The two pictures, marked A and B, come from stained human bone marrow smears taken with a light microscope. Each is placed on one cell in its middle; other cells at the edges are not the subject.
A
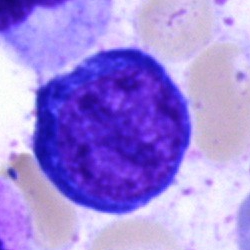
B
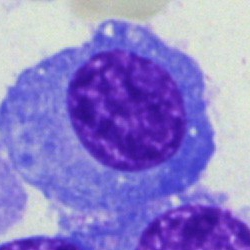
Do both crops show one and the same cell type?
no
